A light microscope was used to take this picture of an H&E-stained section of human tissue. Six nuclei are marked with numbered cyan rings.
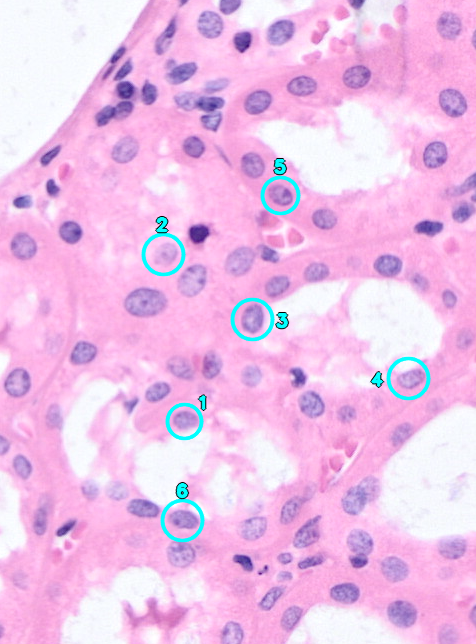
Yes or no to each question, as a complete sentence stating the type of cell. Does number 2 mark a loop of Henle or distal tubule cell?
No, cell 2 should be read as a proximal tubule cell instead of a loop of Henle or distal tubule cell.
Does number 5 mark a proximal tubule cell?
Yes, the cell that is numbered 5 is a proximal tubule cell.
